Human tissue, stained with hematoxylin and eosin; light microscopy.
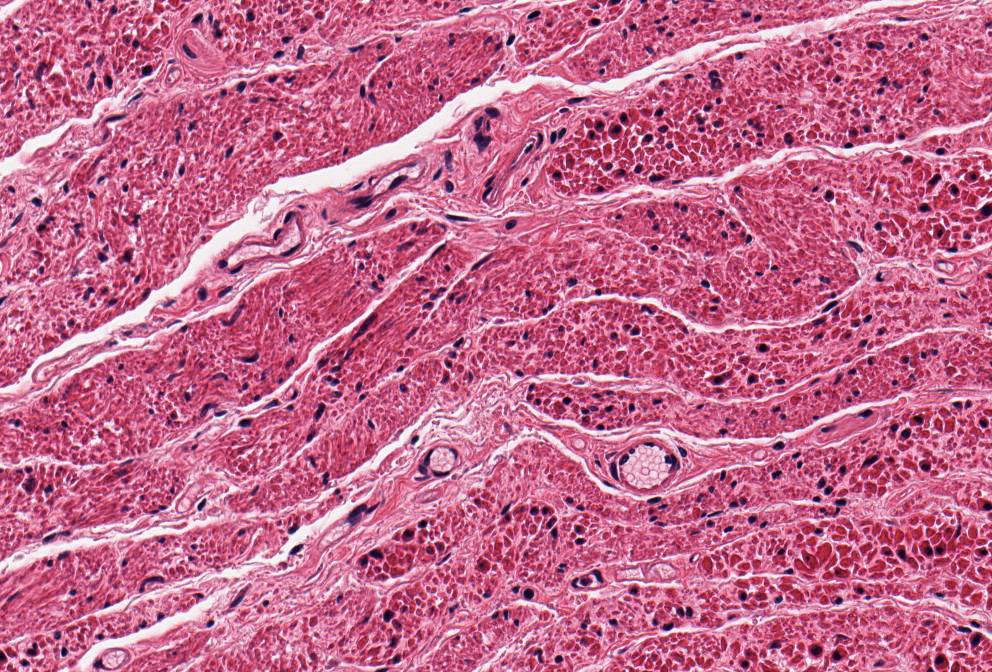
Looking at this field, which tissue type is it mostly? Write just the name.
smooth muscle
